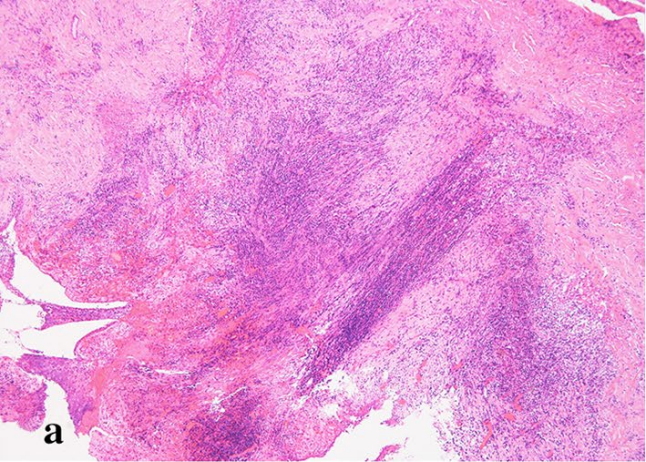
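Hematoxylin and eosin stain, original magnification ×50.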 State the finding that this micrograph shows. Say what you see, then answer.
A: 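Broad areas of pink loose fibrous tissue are crowded with small dark purple nuclei. Dense dark cellular aggregates run through the tissue. Small red blood-filled vessels are scattered through it. That points to this answer: massive inflammatory granulation.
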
